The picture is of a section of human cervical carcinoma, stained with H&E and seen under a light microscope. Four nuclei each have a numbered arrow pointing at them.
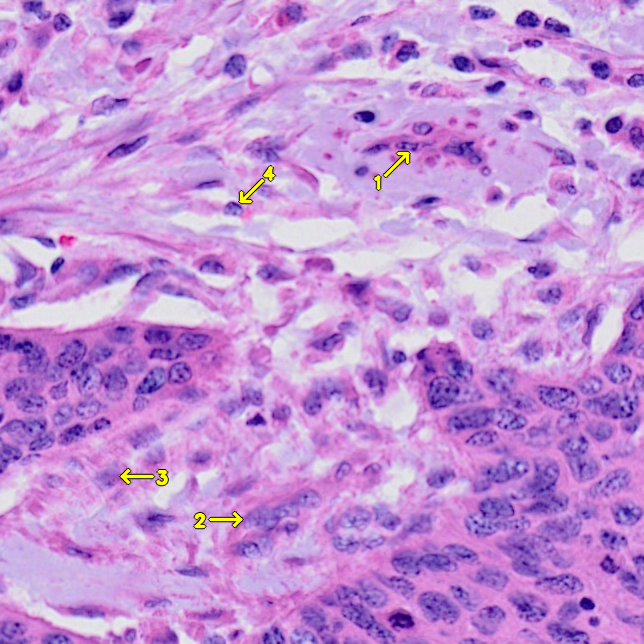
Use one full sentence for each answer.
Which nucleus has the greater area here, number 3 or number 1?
Nucleus 3 is larger, with an area about 1.5 times that of nucleus 1.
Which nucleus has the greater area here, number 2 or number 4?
Of the two, number 2 is bigger and takes up about 3 times the area of number 4.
